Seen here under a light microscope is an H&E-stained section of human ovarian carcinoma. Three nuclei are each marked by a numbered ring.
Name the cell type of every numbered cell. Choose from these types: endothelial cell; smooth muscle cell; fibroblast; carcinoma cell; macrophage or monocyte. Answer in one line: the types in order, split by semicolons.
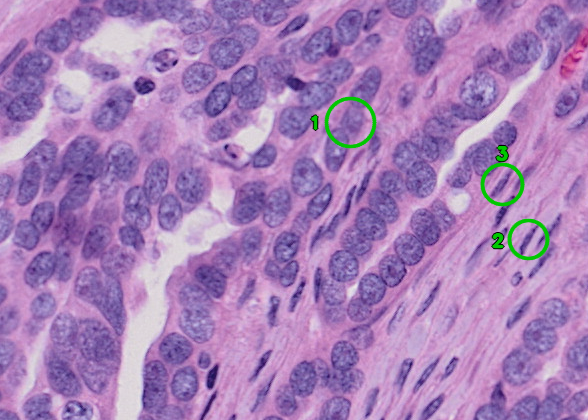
carcinoma cell; fibroblast; fibroblast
